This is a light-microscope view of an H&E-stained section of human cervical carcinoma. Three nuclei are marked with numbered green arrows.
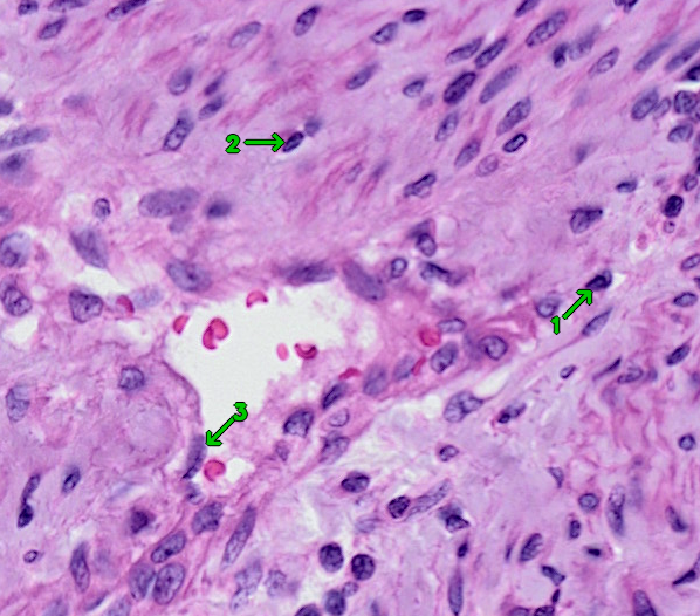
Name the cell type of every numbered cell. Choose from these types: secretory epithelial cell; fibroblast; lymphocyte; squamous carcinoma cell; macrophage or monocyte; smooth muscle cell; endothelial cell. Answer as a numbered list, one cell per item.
1. lymphocyte
2. lymphocyte
3. endothelial cell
